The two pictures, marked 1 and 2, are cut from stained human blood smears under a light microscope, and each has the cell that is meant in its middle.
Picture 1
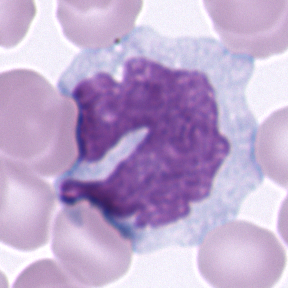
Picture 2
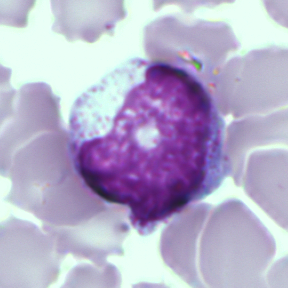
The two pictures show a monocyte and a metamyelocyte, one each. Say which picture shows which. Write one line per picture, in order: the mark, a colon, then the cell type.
1: monocyte
2: metamyelocyte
